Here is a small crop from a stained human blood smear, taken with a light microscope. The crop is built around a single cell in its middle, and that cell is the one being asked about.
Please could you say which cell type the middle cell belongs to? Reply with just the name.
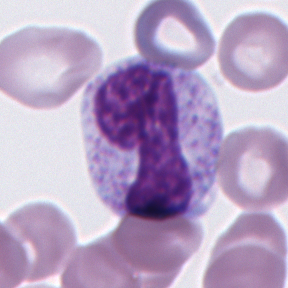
band neutrophil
